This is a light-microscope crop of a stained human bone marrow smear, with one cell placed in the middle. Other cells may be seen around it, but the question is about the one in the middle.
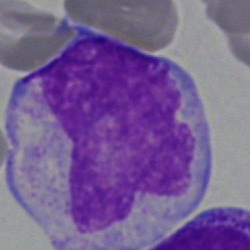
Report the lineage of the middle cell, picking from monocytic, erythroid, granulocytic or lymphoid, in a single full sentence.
Lineage result for the cell in the middle of the crop: monocytic.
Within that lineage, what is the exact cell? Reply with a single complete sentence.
In the center of this field lies a monocyte.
